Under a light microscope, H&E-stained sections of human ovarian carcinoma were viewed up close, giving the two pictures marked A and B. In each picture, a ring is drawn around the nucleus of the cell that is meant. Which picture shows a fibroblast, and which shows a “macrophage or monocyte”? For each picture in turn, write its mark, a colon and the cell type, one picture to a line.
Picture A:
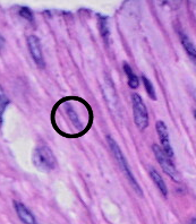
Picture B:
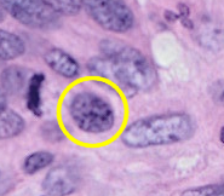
A: fibroblast
B: macrophage or monocyte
